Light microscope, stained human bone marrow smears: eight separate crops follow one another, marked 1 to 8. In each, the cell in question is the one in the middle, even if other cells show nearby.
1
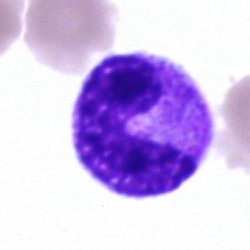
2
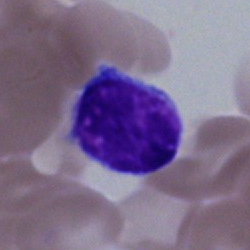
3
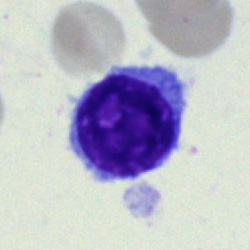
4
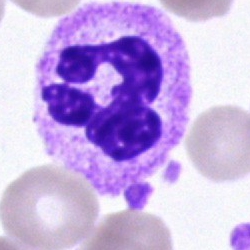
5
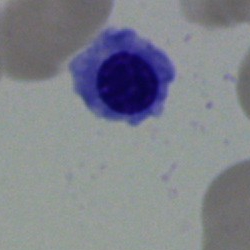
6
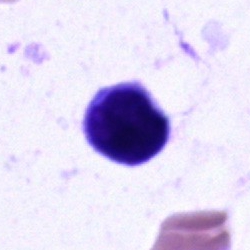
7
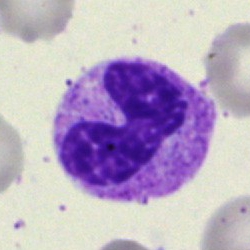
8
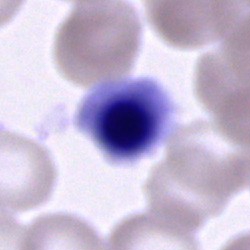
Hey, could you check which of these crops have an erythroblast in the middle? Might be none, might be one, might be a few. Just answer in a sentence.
With respect to crops 5 and 8, the cells shown are erythroblasts.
